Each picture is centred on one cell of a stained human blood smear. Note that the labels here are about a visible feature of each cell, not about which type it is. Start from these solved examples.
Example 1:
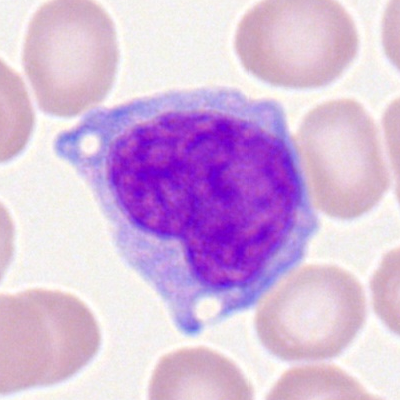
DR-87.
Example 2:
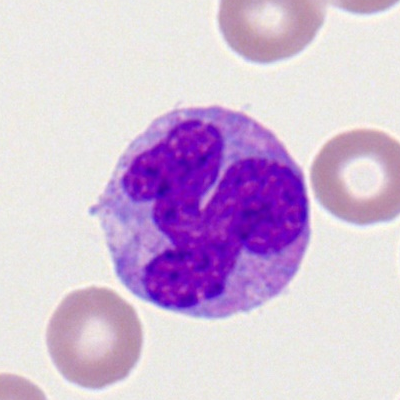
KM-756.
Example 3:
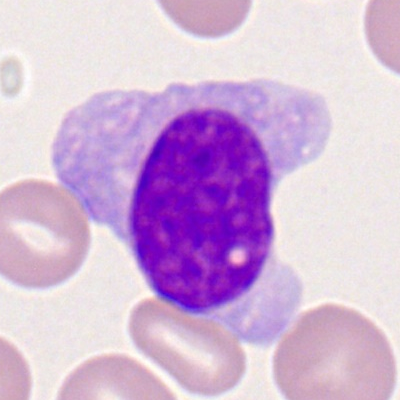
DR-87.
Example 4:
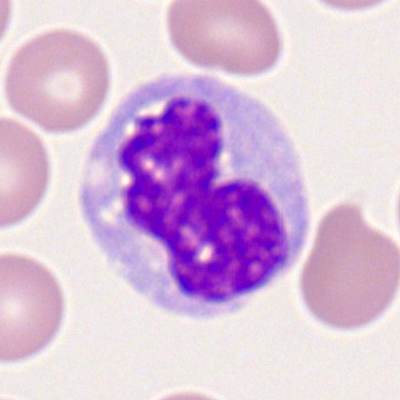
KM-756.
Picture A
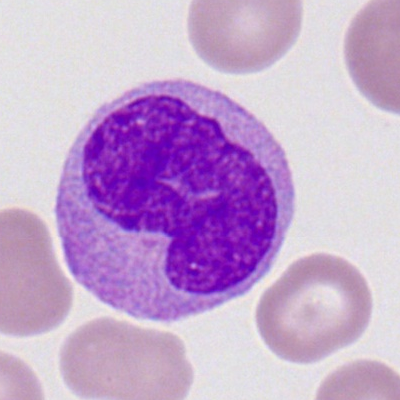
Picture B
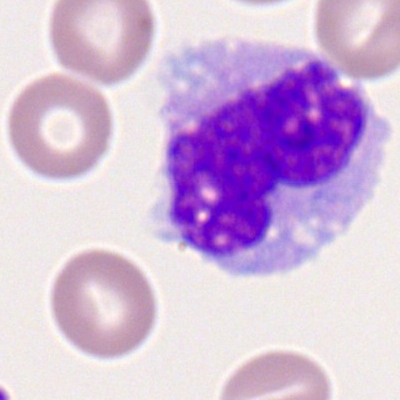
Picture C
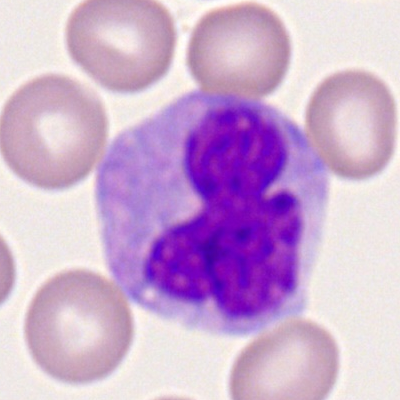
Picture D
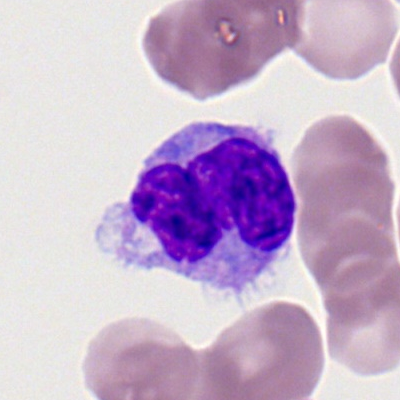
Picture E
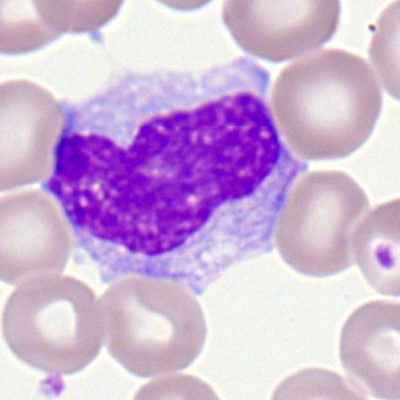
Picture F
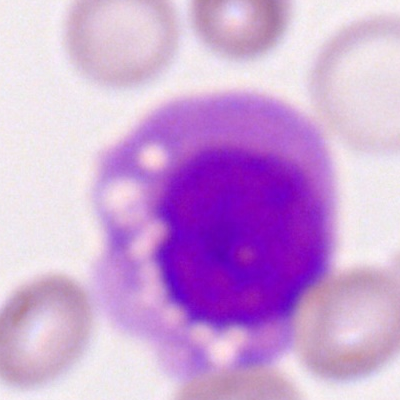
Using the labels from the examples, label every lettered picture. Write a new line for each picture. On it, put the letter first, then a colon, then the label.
A: DR-87.
B: KM-756.
C: KM-756.
D: KM-756.
E: DR-87.
F: DR-87.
